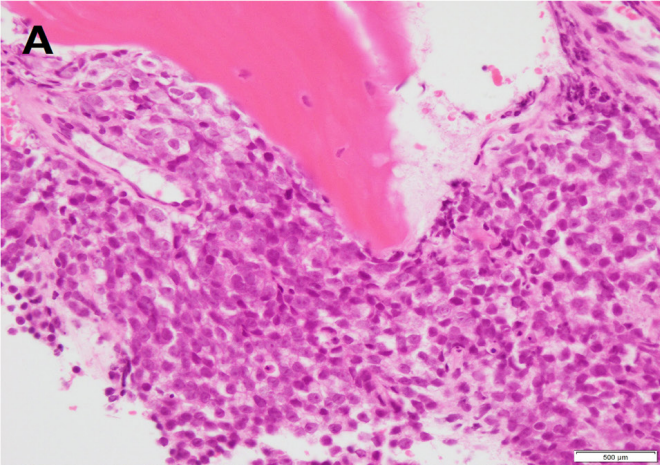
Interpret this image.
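Bone marrow biopsy in which small round cells are diffusely spread, replacing the marrow next to a pink bony trabecula. The cells have round to oval, darkly staining nuclei and scant pale cytoplasm and lie closely packed in solid sheets. No tubular or glandular formations are seen. A small vessel runs through the cellular infiltrate at the upper left.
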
